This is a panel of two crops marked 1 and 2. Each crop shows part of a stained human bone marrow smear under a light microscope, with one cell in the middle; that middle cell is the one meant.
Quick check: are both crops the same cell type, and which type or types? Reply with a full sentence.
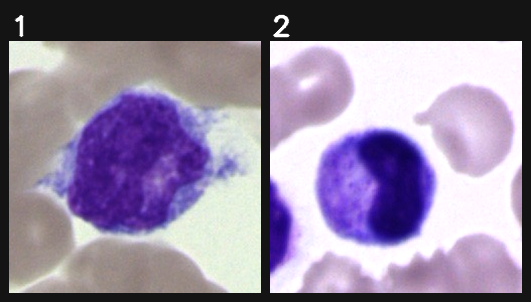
No, the middle of crop 1 holds a monocyte, and the middle of crop 2 holds a metamyelocyte.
